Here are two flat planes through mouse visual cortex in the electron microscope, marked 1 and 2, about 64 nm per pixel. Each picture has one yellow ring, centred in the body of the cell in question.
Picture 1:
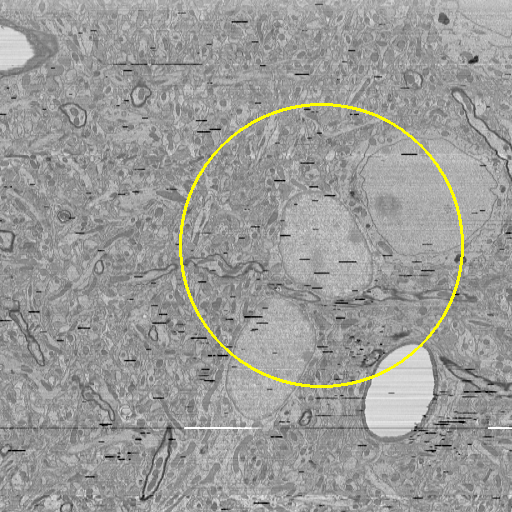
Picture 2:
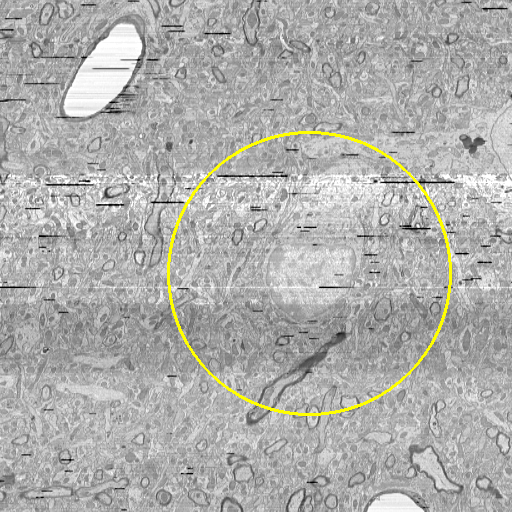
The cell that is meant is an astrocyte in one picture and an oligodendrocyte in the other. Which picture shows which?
Picture 1 is of an astrocyte, and picture 2 is of an oligodendrocyte.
